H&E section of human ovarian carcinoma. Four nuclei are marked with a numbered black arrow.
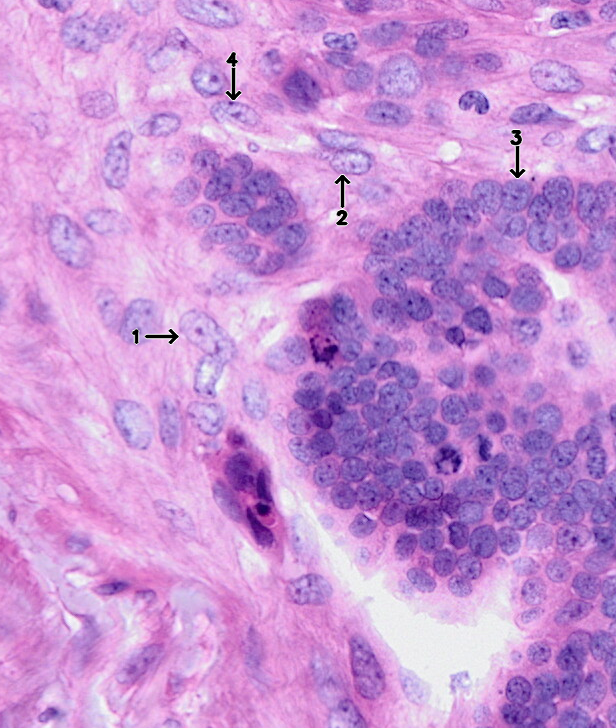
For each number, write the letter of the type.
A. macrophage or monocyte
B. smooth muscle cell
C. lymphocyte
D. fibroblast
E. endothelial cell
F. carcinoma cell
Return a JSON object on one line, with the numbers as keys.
{"1": "D", "2": "D", "3": "F", "4": "D"}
